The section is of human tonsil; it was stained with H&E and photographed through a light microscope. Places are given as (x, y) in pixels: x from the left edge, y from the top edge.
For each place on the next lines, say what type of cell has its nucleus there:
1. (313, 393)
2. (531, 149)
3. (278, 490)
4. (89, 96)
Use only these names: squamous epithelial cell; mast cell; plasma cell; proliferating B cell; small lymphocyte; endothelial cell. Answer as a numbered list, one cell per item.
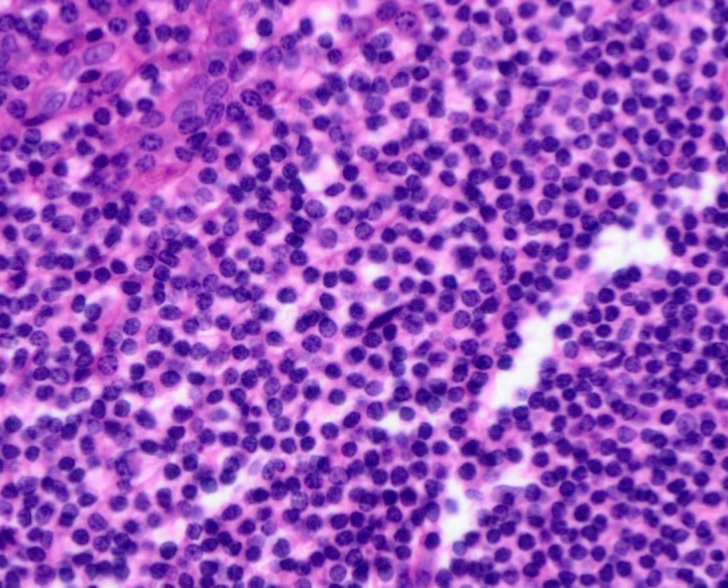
1. small lymphocyte
2. small lymphocyte
3. small lymphocyte
4. endothelial cell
